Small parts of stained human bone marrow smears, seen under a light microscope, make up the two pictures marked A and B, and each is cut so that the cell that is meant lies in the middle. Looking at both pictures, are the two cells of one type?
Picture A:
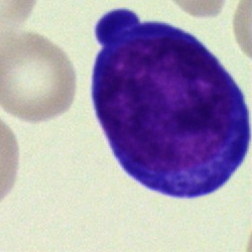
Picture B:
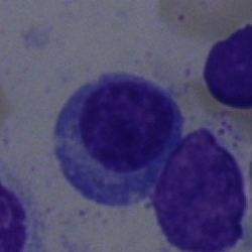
no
